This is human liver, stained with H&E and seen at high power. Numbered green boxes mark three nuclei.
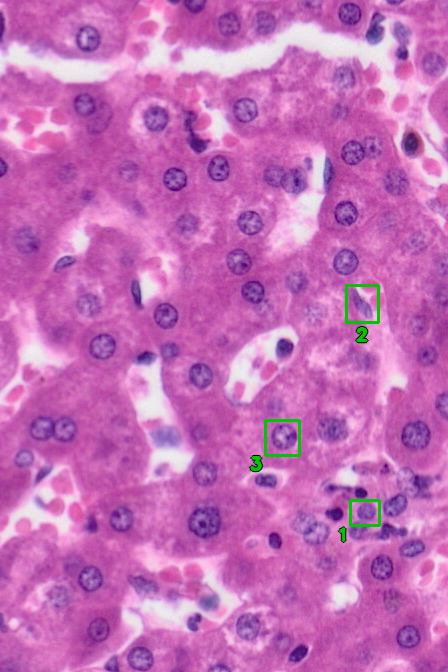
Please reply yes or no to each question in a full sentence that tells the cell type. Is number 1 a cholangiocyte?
Yes, cell 1 is a cholangiocyte in this tissue section.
